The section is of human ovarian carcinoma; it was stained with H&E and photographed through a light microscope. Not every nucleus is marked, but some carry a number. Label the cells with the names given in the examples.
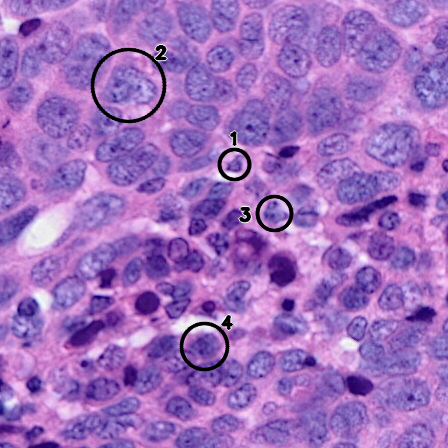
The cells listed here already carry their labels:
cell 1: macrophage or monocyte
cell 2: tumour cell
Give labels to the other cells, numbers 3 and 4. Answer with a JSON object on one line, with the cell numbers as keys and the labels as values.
{"3": "macrophage or monocyte", "4": "tumour cell"}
